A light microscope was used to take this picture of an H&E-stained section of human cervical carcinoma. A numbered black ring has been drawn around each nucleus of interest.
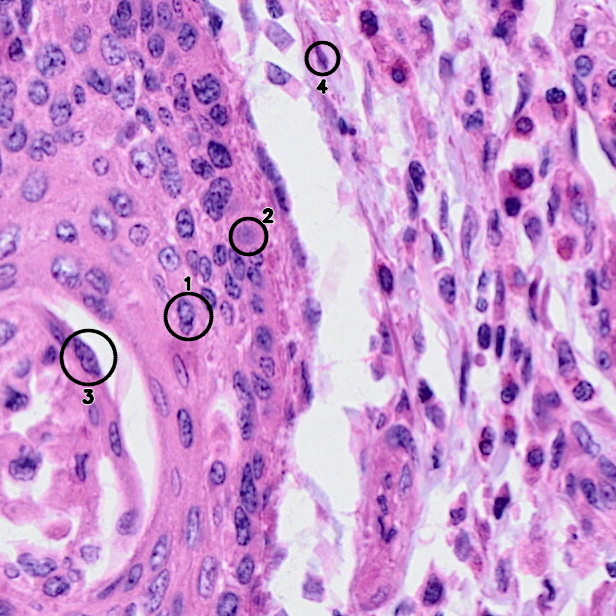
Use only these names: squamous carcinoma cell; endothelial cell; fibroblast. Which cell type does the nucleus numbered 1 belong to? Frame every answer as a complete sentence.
The cell assigned the number 1 is a squamous carcinoma cell.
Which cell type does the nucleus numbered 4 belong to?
Cell 4 in the field of view is a fibroblast.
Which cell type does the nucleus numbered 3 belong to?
The cell identified by the number 3 is a squamous carcinoma cell.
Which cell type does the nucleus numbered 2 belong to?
The cell referred to as 2 is a squamous carcinoma cell.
